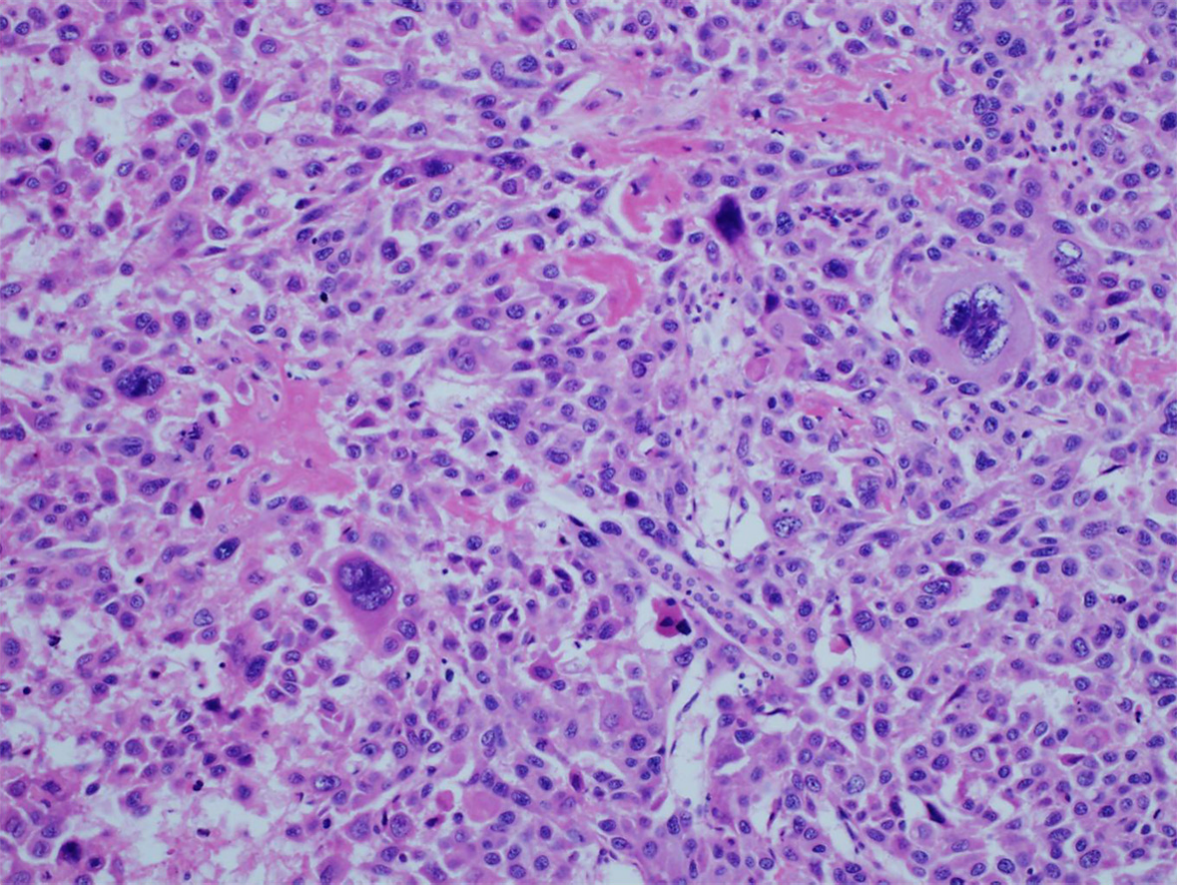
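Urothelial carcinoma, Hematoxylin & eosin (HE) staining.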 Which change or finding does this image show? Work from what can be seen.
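Scattered cells have nuclei several times larger than those of their neighbours. These giant nuclei are lobulated or irregular in outline. The enlarged nuclei stain darker purple than the surrounding nuclei.
Answer: very large, irregular, and hyperchromatic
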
